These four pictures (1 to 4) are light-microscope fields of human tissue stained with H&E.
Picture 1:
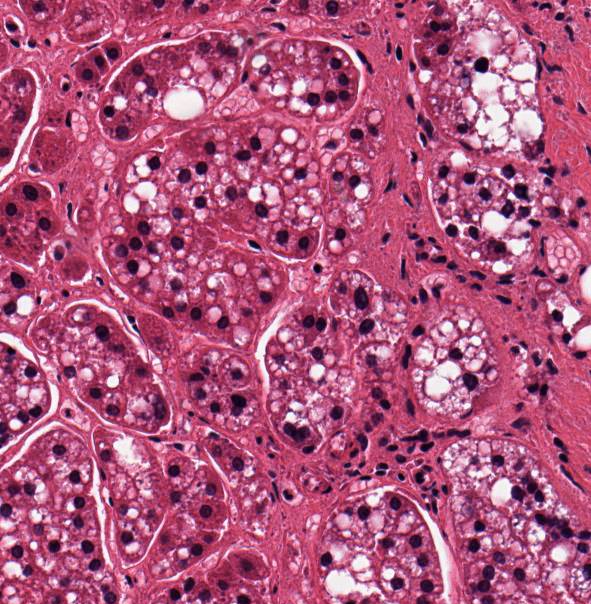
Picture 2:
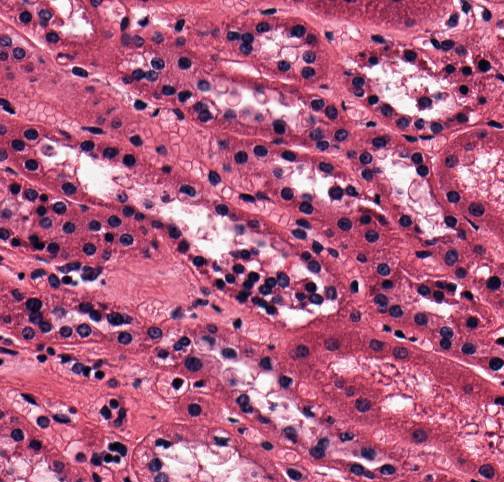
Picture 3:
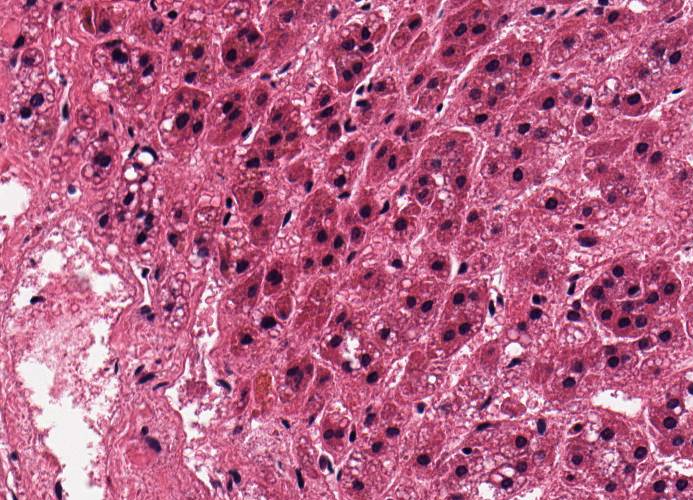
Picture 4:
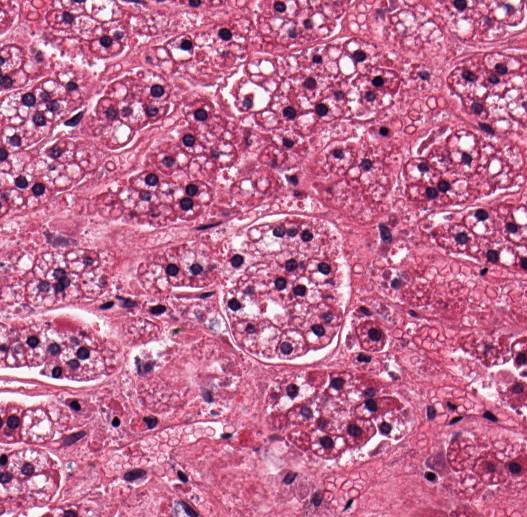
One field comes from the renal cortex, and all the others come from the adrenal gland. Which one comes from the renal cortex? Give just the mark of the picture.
2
